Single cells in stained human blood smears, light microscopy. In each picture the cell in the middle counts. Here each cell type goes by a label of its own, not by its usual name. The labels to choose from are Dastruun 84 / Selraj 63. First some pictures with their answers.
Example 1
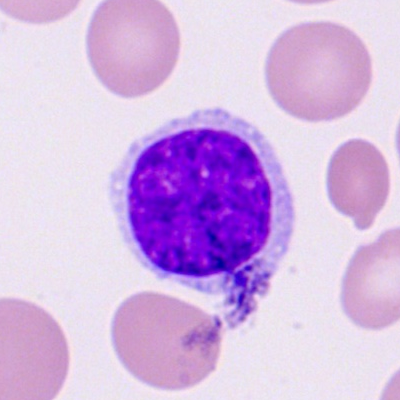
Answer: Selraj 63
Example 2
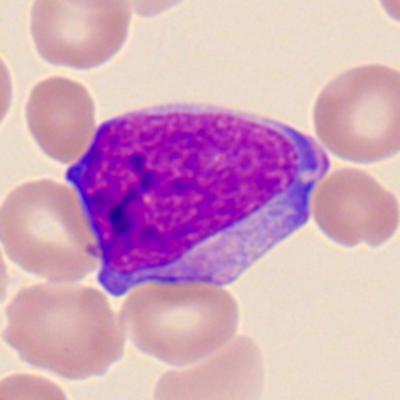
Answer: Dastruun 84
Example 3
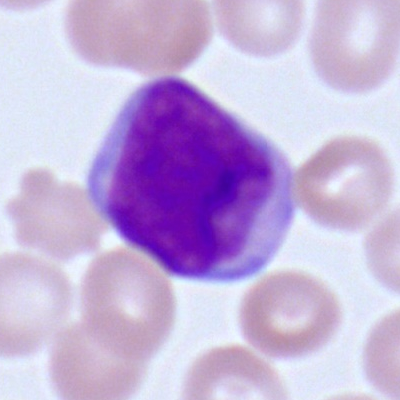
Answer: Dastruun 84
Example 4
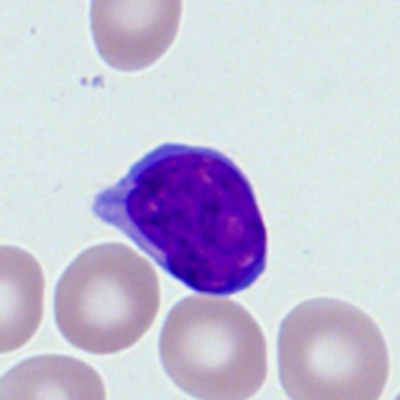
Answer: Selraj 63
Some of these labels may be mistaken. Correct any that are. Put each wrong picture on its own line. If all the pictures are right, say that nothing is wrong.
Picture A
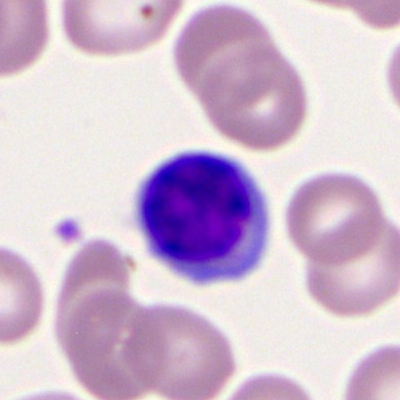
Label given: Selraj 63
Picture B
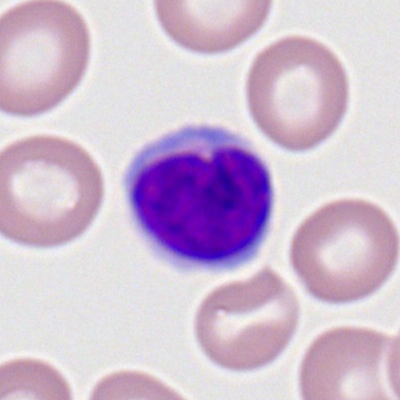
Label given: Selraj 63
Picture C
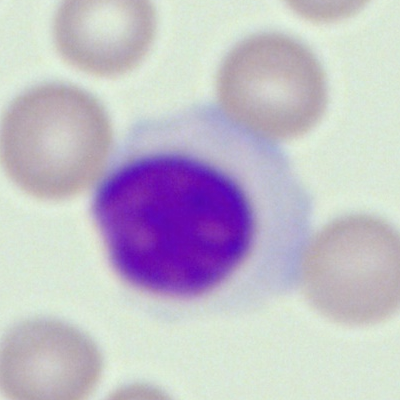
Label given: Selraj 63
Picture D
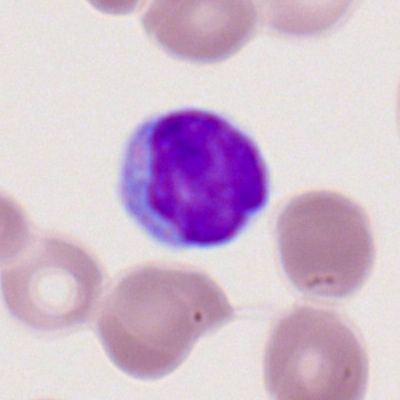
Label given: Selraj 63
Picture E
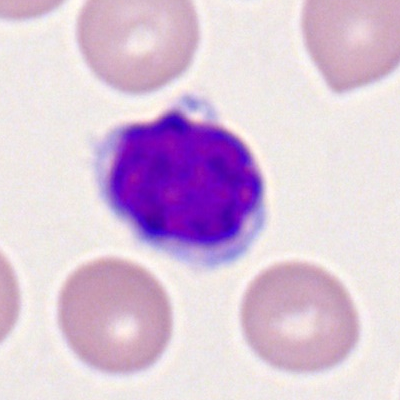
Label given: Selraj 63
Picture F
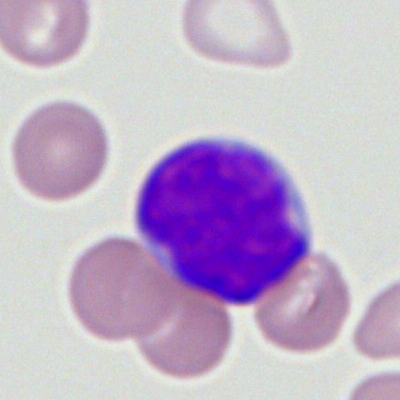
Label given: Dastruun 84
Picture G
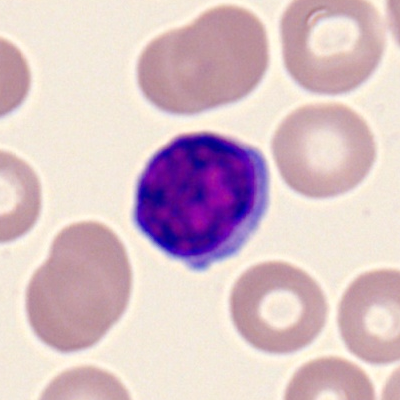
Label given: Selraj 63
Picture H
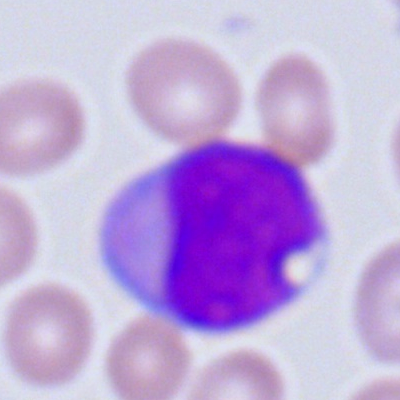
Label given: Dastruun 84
None of the labels needs changing.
